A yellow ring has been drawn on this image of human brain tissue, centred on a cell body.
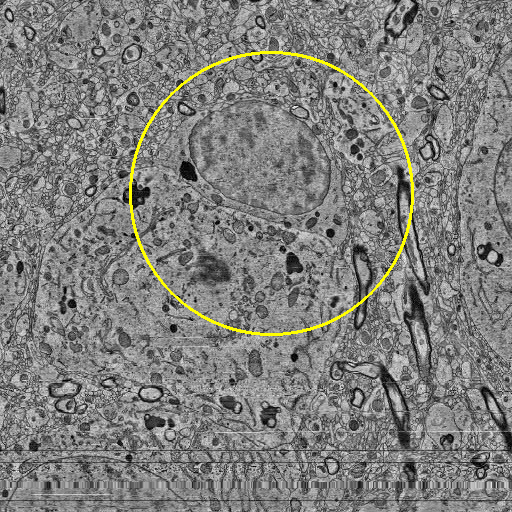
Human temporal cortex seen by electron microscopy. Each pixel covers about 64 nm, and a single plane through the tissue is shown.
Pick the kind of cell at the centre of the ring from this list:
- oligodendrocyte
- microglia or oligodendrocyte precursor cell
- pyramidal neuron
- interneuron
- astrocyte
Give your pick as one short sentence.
The centre of the ring holds an oligodendrocyte.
